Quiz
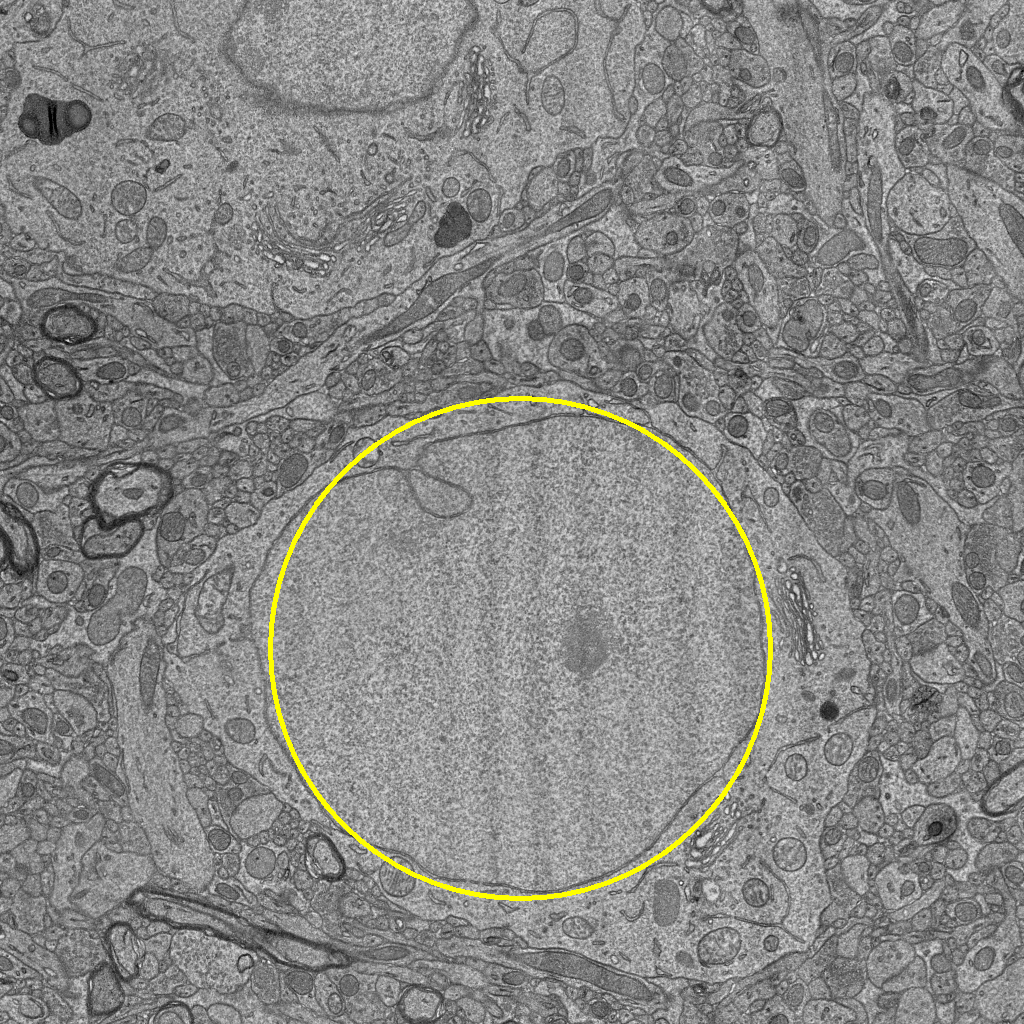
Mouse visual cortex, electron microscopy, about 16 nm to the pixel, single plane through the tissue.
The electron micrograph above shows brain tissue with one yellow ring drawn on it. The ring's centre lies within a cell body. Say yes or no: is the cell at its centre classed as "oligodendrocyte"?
no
